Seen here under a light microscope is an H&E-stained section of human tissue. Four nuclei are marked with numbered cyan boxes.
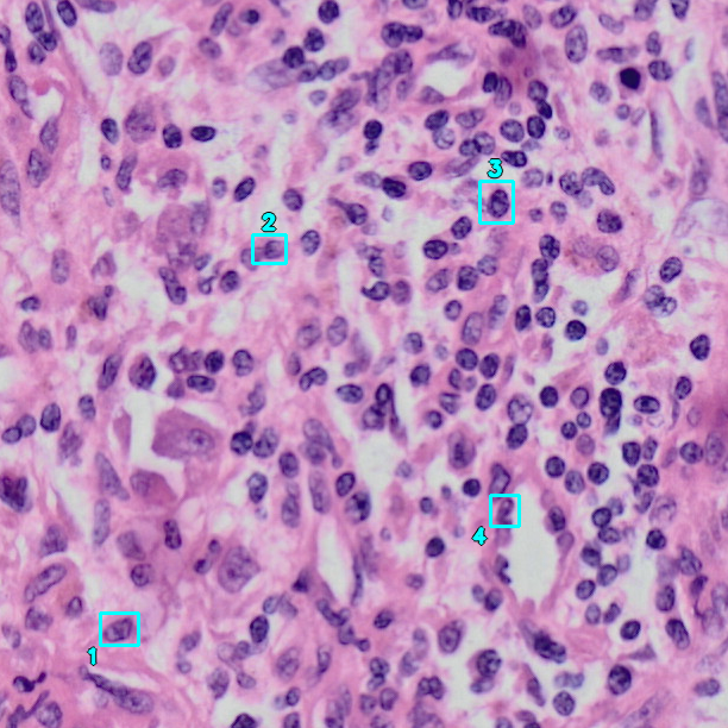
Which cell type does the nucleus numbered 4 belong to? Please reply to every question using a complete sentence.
The identity of cell 4 is that of an endothelial cell.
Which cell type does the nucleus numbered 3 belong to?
The cell pointed out as number 3 is a lymphocyte.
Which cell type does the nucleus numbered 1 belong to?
The cell numbered 1 represents a macrophage or monocyte.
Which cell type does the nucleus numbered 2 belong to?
Identified by the number 2, the cell is a macrophage or monocyte.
